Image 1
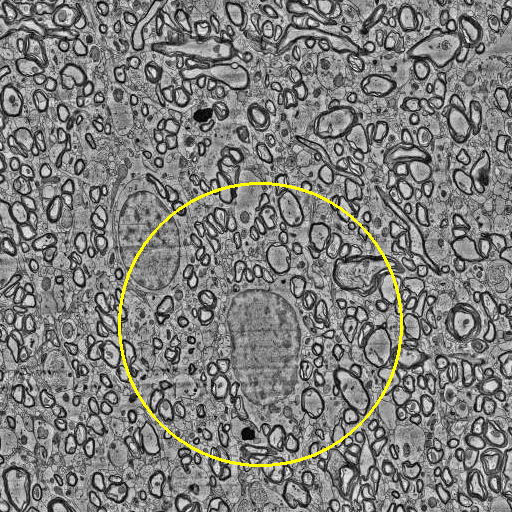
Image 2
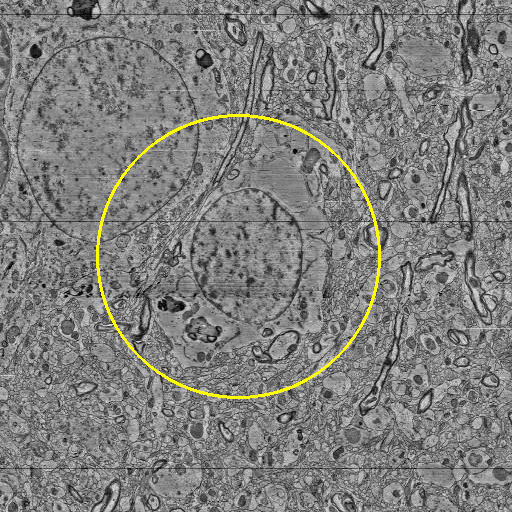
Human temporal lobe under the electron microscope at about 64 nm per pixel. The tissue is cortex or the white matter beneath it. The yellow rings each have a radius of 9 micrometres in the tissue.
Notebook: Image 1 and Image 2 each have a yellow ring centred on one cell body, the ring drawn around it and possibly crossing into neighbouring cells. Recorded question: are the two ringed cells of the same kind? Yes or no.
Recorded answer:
no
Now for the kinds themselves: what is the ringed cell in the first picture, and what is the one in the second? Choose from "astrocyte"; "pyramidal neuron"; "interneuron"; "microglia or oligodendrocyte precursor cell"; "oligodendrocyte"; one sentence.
Here the first cell is an oligodendrocyte and the second cell is an astrocyte.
